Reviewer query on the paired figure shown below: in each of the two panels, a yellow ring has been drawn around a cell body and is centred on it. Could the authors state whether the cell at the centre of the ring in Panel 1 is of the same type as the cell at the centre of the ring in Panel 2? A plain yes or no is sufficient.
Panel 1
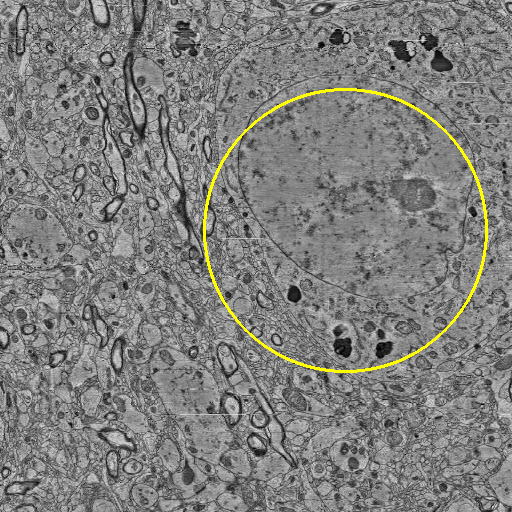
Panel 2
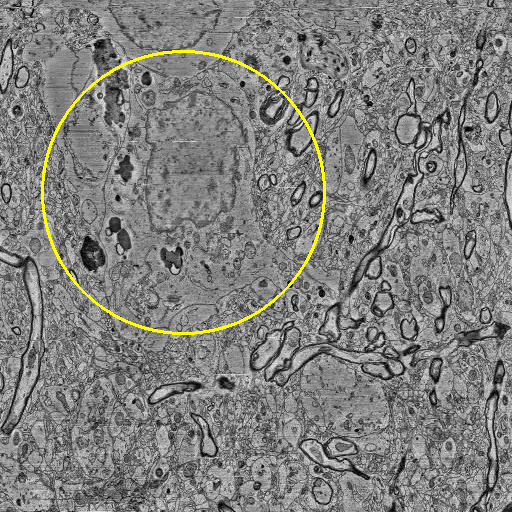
no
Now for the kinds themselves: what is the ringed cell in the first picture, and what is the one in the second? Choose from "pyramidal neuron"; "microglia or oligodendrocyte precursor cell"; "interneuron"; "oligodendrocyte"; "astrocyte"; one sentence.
Here the first cell is a pyramidal neuron and the second cell is an interneuron.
